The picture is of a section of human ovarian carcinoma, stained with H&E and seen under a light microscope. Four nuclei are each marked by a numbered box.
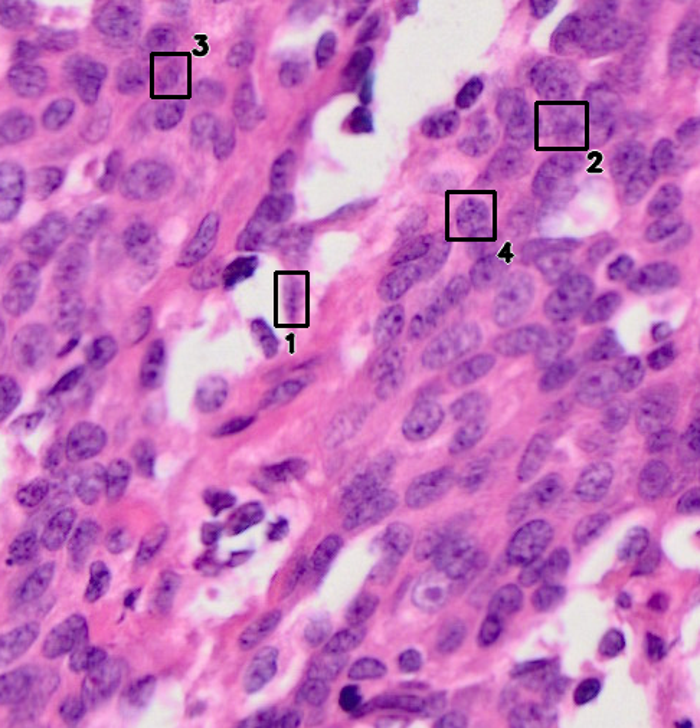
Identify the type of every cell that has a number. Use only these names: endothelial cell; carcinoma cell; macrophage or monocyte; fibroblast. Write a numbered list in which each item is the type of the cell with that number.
1. carcinoma cell
2. carcinoma cell
3. carcinoma cell
4. macrophage or monocyte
